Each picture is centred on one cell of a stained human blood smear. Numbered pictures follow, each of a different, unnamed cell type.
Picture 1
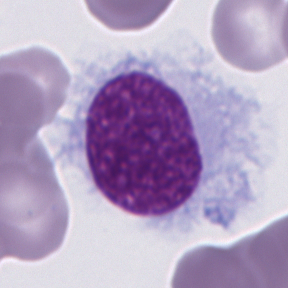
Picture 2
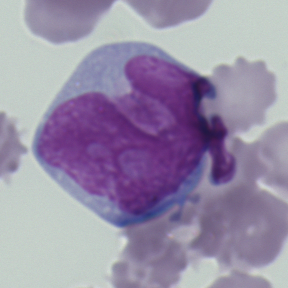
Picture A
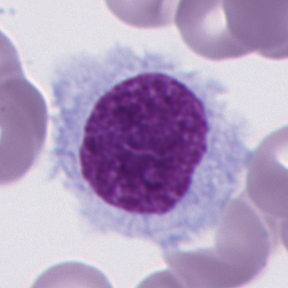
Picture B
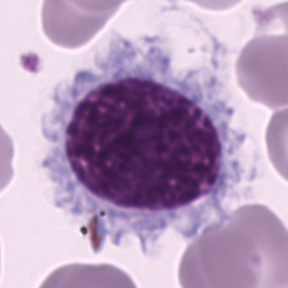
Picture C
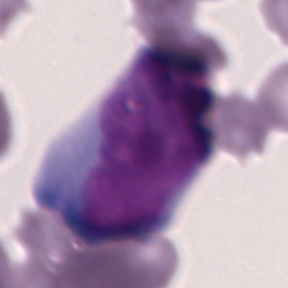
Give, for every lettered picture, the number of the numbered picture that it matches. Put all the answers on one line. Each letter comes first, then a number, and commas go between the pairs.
A 1, B 1, C 2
